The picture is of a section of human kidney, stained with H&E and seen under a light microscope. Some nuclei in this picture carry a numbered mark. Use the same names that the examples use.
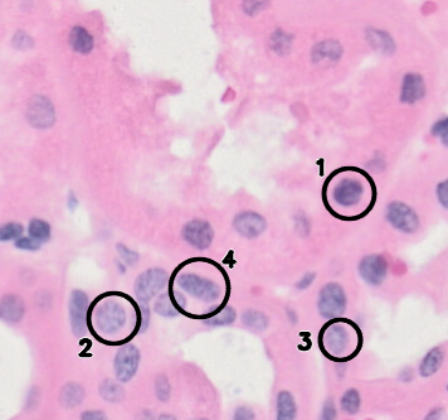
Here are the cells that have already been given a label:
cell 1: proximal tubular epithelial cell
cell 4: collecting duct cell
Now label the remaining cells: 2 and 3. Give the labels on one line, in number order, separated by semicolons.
collecting duct cell; collecting duct cell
